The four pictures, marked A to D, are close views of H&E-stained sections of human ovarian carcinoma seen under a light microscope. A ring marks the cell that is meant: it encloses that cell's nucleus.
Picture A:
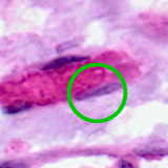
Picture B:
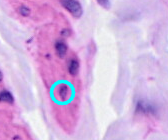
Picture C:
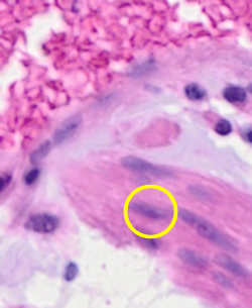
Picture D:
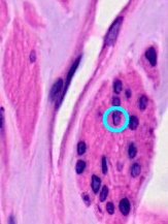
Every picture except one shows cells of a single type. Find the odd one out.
A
